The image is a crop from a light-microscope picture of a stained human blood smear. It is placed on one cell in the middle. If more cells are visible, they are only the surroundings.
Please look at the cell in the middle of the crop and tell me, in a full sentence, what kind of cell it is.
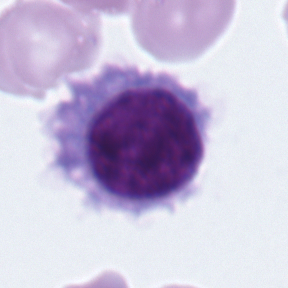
Within this crop, a hairy cell occupies the central position.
